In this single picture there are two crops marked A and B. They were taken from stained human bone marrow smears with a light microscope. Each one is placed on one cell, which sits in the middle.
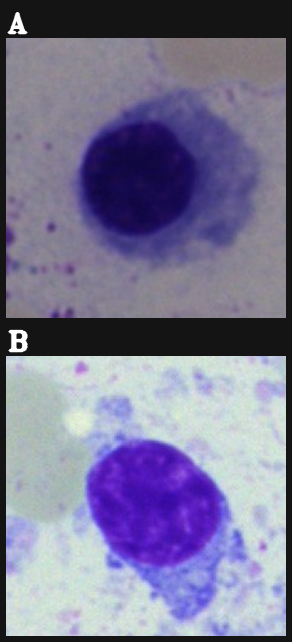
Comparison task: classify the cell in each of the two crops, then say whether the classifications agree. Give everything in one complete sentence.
No, crop A features a normoblast, while crop B features a lymphocyte.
